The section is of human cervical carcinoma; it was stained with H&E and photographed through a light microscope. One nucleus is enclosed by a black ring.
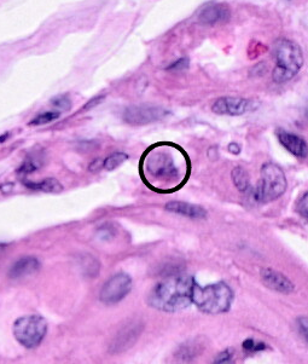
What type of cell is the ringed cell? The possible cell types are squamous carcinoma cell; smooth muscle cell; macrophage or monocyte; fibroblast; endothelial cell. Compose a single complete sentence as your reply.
The classification of the ringed cell is as a macrophage or monocyte.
